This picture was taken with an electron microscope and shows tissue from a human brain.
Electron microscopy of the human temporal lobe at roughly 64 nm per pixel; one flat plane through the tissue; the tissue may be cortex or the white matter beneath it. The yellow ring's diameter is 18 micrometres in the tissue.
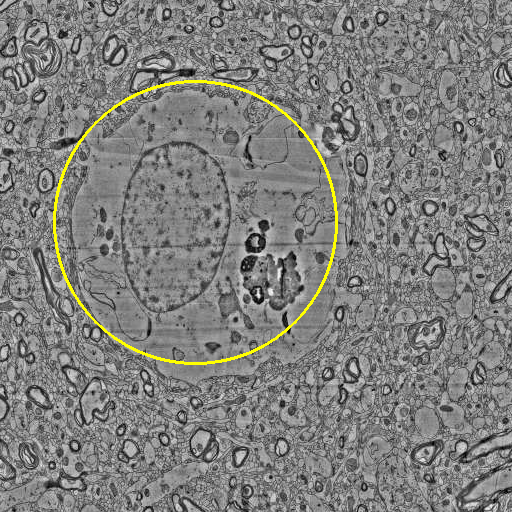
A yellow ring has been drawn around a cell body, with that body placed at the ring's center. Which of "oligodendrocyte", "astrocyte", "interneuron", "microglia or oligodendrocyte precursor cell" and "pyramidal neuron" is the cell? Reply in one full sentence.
In this picture, an astrocyte is the cell at the center of the yellow ring.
